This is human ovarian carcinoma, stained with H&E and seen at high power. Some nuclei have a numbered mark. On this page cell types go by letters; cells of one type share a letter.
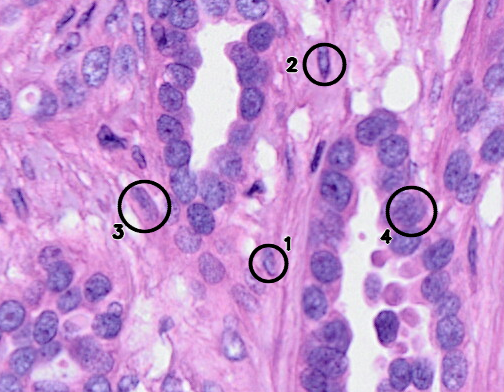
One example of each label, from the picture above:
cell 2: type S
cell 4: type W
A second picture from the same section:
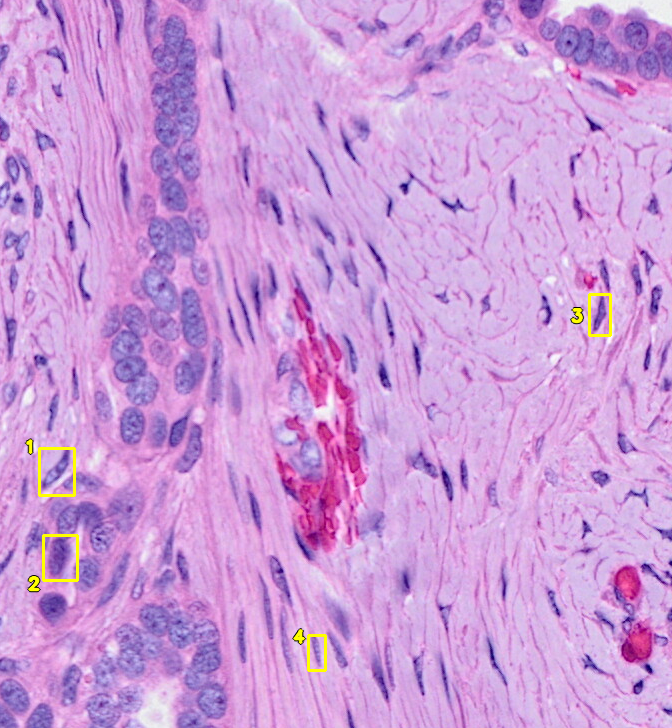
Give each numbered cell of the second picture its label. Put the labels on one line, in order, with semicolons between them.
type S; type W; type S; type S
